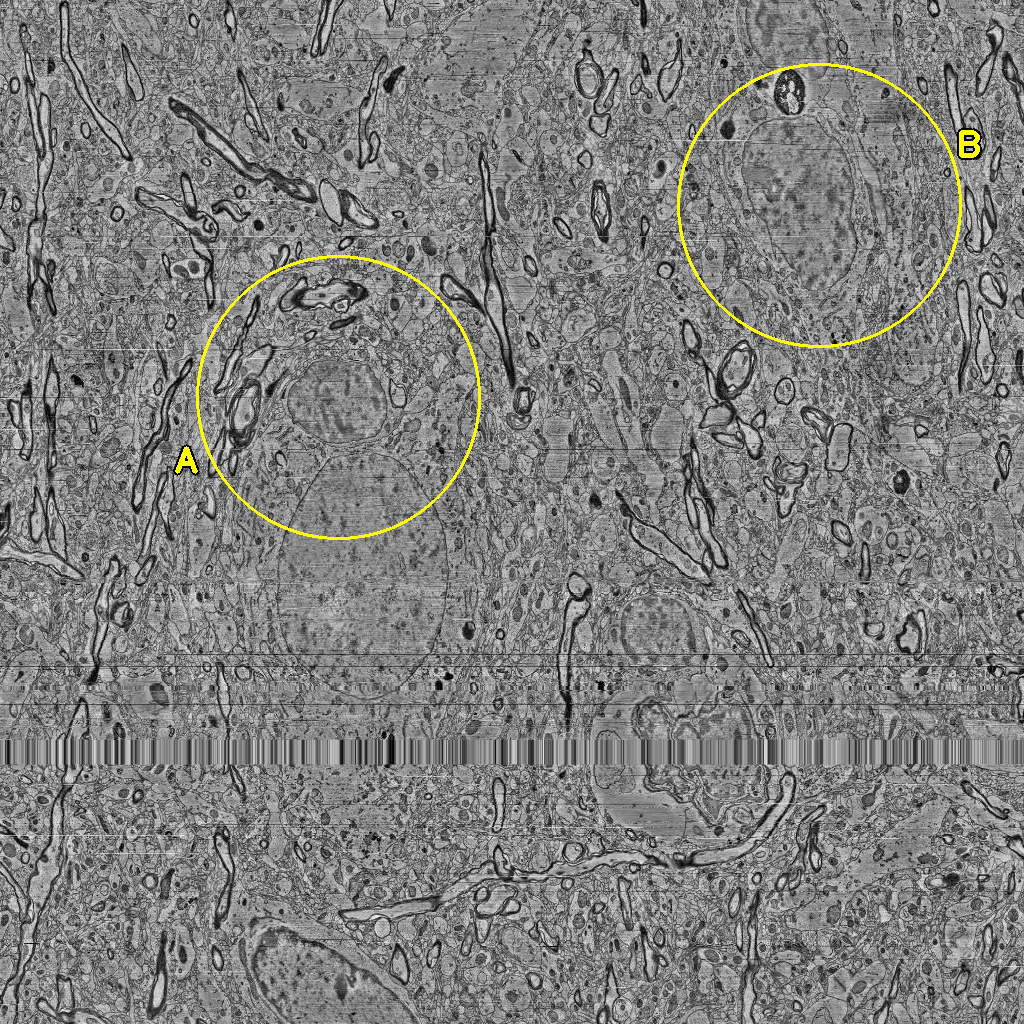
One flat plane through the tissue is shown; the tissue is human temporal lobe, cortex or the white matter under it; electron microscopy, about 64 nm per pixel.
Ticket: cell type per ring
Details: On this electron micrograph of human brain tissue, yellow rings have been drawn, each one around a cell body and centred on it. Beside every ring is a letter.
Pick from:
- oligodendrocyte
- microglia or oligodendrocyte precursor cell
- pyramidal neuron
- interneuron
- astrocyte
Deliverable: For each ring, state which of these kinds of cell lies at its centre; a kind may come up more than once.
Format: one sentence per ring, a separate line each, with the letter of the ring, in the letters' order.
The cell body ringed as A belongs to an oligodendrocyte.
The cell body ringed as B belongs to an interneuron.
